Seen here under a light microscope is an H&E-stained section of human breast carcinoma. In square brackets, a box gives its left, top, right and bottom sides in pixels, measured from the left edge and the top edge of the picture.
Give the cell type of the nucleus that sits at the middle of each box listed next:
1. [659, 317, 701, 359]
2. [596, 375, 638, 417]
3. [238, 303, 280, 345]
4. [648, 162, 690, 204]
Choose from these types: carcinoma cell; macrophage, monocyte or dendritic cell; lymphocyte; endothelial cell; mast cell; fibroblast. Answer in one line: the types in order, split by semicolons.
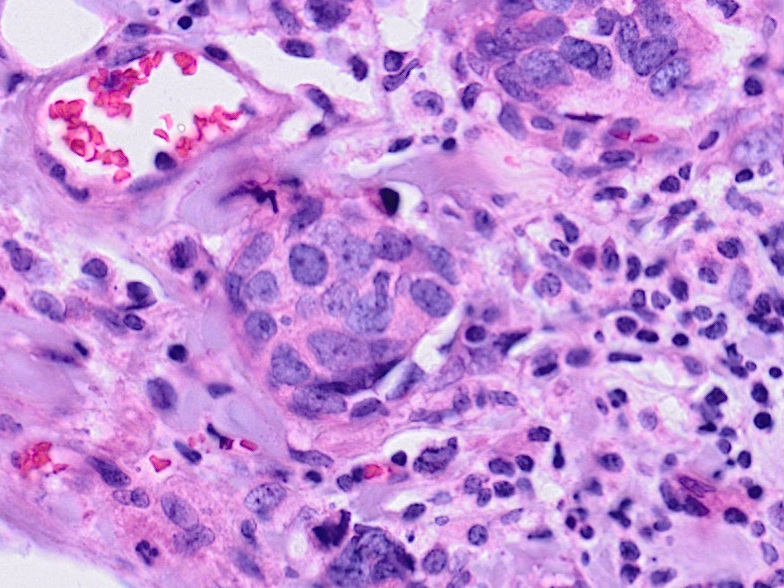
lymphocyte; lymphocyte; carcinoma cell; lymphocyte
